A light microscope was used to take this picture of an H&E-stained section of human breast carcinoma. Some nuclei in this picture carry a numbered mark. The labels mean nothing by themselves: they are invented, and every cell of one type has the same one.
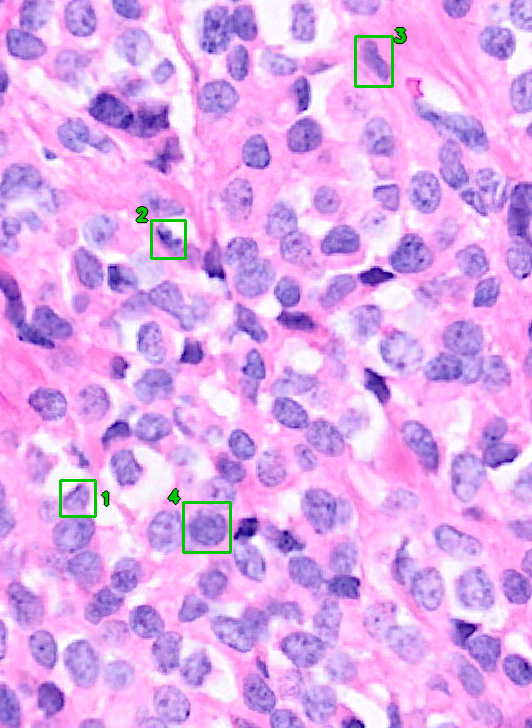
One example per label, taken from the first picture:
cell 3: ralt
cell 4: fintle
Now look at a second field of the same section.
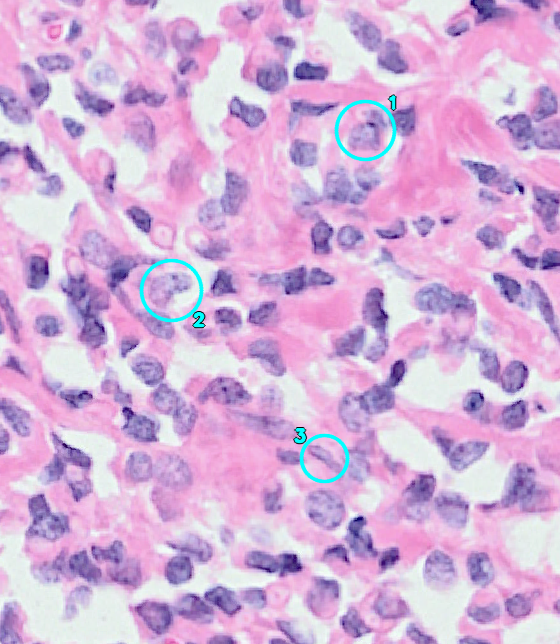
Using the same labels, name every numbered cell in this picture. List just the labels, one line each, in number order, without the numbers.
fintle
fintle
ralt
